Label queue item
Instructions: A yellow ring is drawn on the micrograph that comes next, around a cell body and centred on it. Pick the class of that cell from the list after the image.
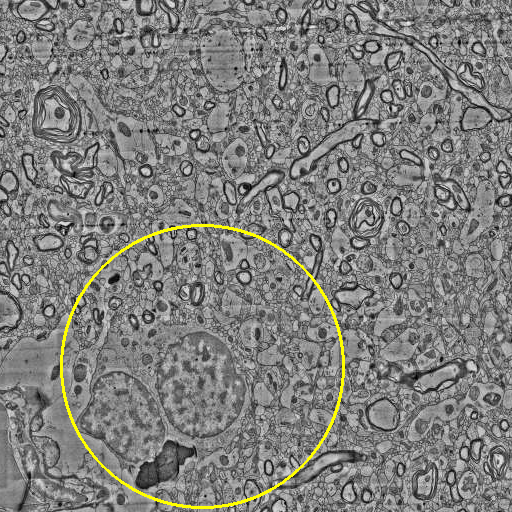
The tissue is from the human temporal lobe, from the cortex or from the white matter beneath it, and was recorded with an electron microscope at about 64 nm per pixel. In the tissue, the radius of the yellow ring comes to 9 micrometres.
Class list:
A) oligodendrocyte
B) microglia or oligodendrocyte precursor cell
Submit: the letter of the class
A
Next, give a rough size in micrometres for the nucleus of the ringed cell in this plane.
About 6 micrometres across in this plane.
